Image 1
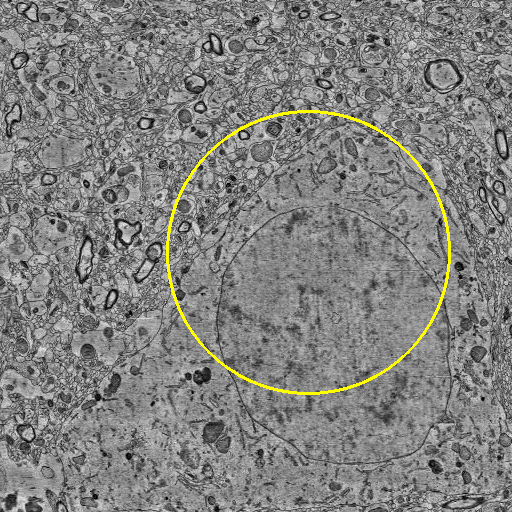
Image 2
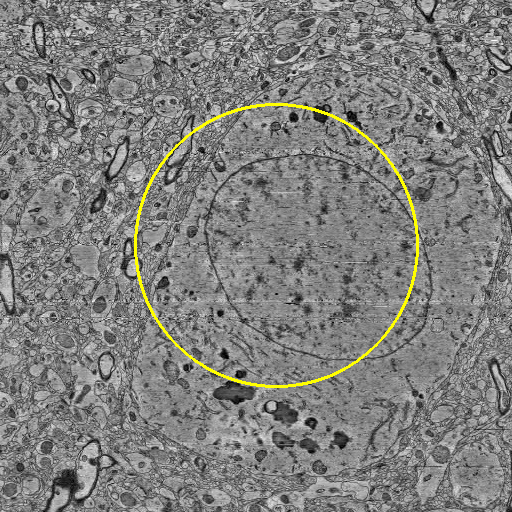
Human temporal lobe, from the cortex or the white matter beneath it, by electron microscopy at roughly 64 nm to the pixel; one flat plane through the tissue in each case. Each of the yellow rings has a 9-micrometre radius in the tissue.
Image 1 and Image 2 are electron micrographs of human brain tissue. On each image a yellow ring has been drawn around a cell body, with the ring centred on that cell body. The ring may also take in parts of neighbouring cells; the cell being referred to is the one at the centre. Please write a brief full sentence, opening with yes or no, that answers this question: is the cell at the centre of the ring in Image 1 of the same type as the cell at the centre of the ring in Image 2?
Yes, both cells are of the same type.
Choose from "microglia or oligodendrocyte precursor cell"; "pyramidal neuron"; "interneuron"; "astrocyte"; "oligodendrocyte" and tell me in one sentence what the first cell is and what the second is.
Each of the two pictures has a pyramidal neuron at the ring centre.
